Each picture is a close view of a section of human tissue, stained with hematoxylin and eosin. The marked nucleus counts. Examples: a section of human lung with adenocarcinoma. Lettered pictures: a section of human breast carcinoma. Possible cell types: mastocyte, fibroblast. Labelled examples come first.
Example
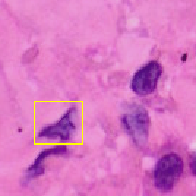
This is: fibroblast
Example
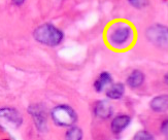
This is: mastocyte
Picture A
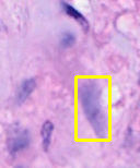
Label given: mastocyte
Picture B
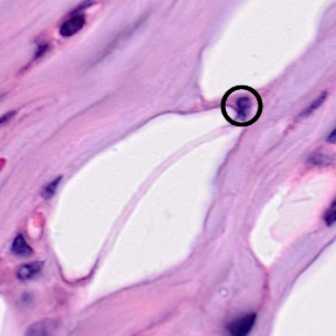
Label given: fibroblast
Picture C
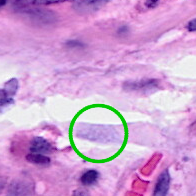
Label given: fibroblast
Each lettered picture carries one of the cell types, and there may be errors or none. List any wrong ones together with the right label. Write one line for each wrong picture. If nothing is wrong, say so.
A: fibroblast, not mastocyte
